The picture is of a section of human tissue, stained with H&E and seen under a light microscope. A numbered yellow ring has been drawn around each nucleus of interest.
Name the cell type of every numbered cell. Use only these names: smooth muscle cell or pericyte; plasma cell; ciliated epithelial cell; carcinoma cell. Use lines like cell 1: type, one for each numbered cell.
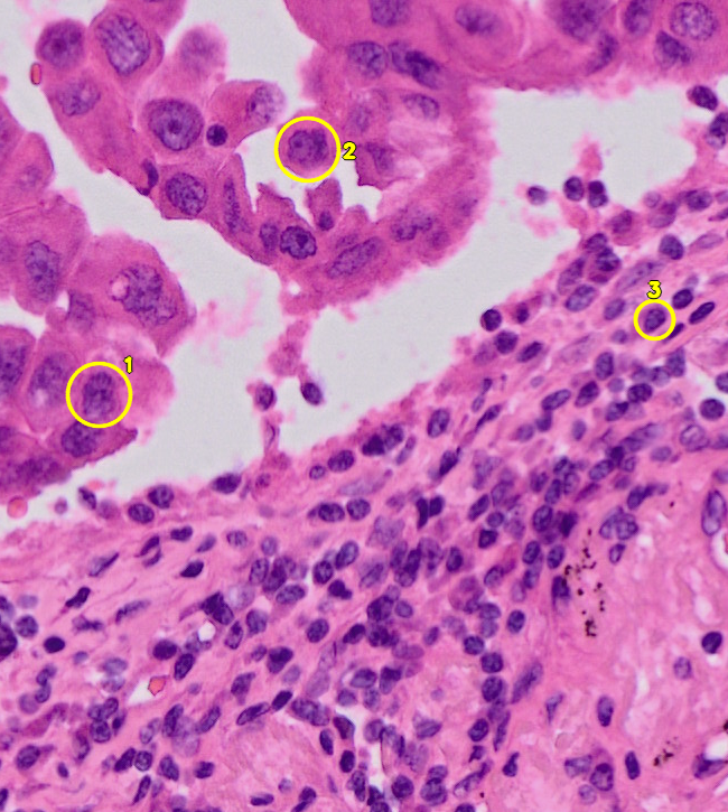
cell 1: carcinoma cell
cell 2: carcinoma cell
cell 3: plasma cell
